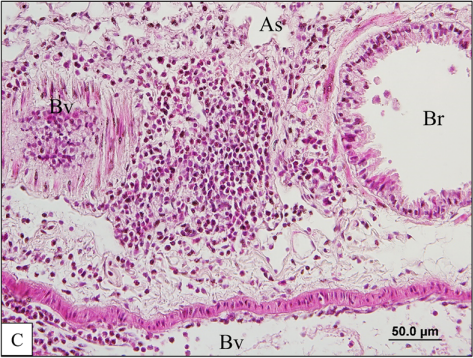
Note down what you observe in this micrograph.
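This lung section shows a small airway and neighbouring blood vessels buried in a dense inflammatory infiltrate. Between the vessels and the airway, the connective tissue is packed with small round cells with dark purple nuclei and little cytoplasm, crowding the spaces around the vessels and the airway. The airway is lined by a tall, pink, columnar epithelium with a row of nuclei at its base, and a second pink-lined wall runs along the bottom. The vessel wall on the left is also surrounded and partly obscured by cells. At the top, alveolar walls look thickened and cellular rather than thin and delicate.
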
